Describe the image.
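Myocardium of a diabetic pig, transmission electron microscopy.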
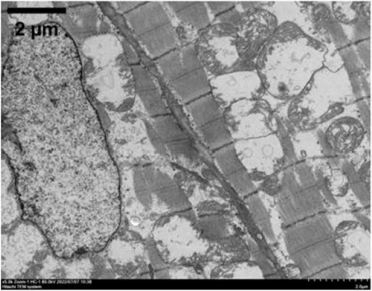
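Cardiomyocyte cut lengthwise, with a large oval nucleus of fine chromatin at the left and myofibrils showing regular sarcomeres crossed by dark Z-lines. Between the myofibrils the mitochondria are enlarged and pale, with cleared matrix and few or broken cristae. Some myofibrils look thinned and frayed beside the swollen mitochondria.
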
